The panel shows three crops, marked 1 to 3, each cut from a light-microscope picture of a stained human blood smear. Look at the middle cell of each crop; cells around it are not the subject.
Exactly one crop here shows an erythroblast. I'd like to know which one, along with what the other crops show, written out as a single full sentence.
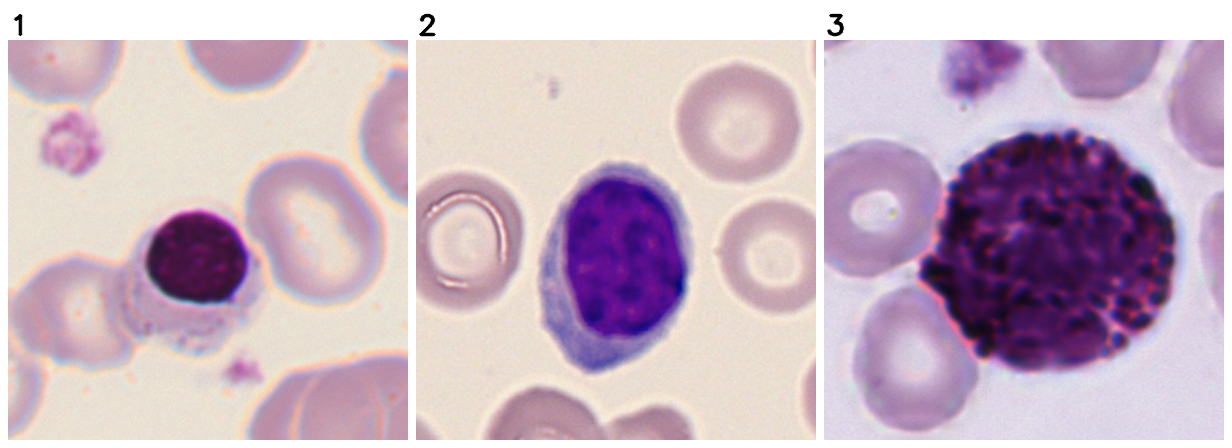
In crop 1 there is an erythroblast, while crop 2 is a lymphocyte and crop 3 is a basophil.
